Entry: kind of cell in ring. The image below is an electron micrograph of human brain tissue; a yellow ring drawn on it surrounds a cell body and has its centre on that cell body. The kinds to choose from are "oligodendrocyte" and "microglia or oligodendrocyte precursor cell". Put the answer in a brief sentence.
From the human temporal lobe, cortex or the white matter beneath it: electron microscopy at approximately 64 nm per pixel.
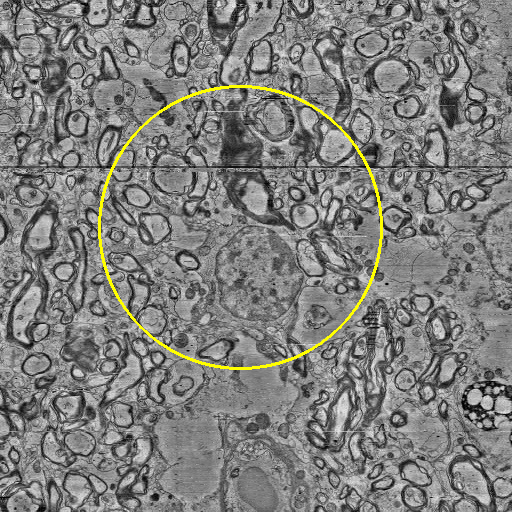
The ring has been drawn around an oligodendrocyte.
